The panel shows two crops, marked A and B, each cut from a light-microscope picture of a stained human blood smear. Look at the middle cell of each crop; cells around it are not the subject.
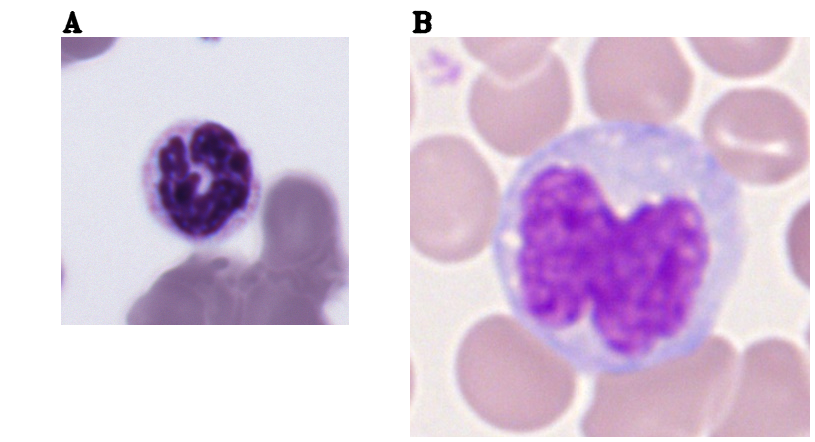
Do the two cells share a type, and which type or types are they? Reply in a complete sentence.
No, in fact crop A shows a segmented neutrophil, and crop B shows a monocyte.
